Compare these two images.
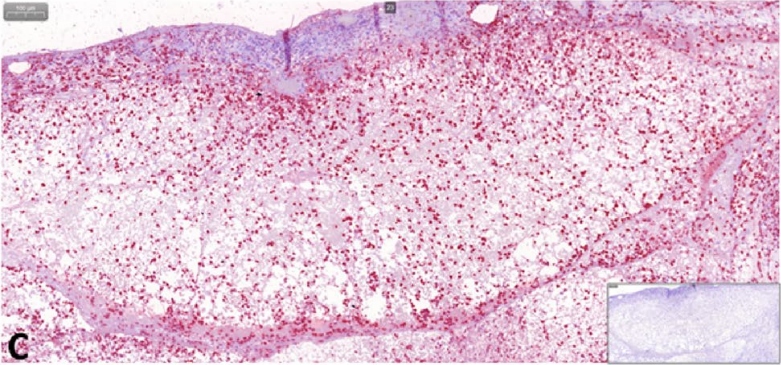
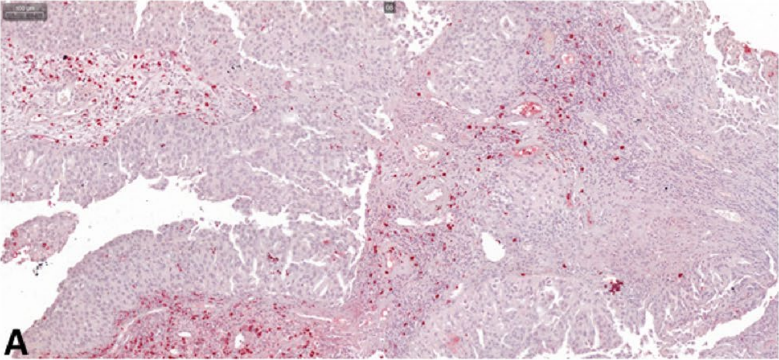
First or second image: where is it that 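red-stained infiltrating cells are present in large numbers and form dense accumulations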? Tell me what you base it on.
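The first image. First image: red-stained cells crowd the whole section, densest near the surface and along bands. Second image: red-stained cells are scattered, mostly in the stroma between epithelial sheets.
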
